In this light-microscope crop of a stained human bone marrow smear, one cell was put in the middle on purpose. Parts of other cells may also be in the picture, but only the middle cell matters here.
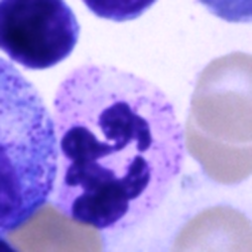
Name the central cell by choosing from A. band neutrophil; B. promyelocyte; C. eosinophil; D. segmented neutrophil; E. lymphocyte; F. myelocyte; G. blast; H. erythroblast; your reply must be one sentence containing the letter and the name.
The right choice is option D: the cell in the middle is a segmented neutrophil.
